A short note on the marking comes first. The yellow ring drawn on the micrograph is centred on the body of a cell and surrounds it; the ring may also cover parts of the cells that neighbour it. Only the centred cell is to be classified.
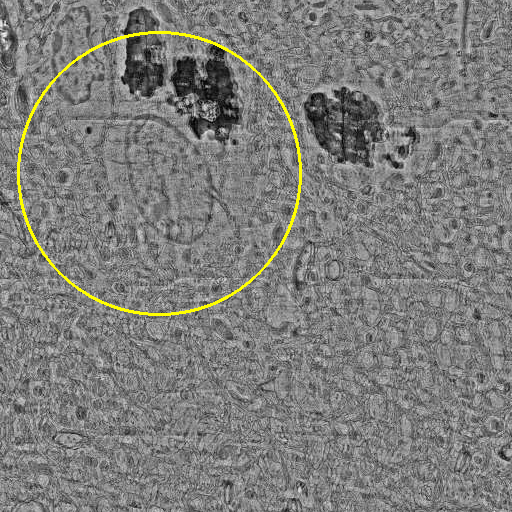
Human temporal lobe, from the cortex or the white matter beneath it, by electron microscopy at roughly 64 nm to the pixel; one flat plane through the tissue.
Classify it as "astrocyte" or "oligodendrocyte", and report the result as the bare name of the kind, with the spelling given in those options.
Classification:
astrocyte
